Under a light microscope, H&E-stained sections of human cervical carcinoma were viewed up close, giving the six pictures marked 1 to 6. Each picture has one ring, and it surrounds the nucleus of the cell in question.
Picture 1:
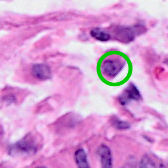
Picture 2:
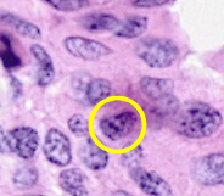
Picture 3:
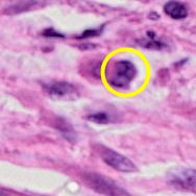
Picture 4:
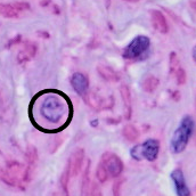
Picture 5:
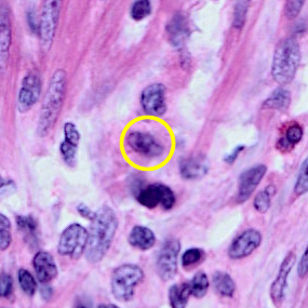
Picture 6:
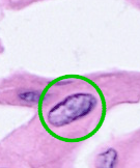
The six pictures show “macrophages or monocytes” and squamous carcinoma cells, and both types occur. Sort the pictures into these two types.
1: macrophage or monocyte
2: squamous carcinoma cell
3: macrophage or monocyte
4: macrophage or monocyte
5: macrophage or monocyte
6: squamous carcinoma cell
